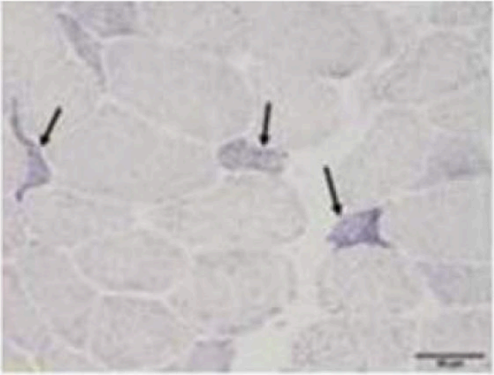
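Skeletal muscle in cross-section with pale lilac-stained polygonal fibers. A few scattered fibers stain a deeper blue-purple than the rest. These darker fibers are small and angular, lying between larger pale fibers. Fiber outlines are separated by thin pale lines.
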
